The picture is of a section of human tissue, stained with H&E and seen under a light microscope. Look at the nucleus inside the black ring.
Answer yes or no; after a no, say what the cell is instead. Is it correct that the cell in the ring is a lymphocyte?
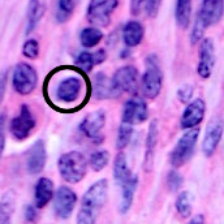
Yes.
